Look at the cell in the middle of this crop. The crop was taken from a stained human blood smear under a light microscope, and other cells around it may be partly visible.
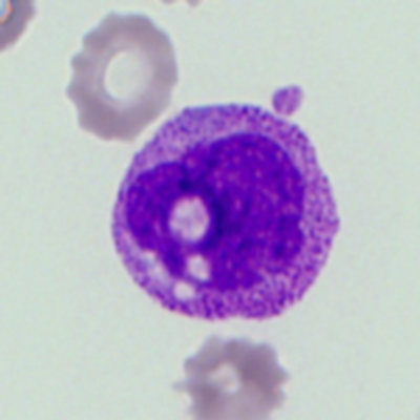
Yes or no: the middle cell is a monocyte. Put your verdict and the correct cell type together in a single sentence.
Yes, it is a monocyte that occupies the centre of the crop.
